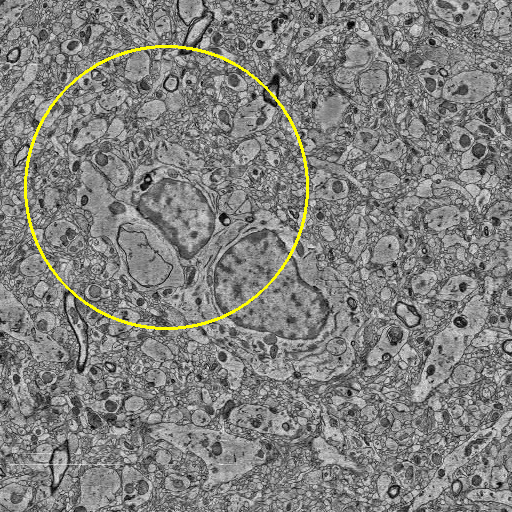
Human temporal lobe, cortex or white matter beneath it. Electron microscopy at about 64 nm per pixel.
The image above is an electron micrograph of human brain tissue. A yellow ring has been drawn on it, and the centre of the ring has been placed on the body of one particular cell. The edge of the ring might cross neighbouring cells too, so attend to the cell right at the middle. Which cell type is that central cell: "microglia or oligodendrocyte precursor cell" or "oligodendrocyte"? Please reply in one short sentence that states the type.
The central cell in the ring is a microglial cell or oligodendrocyte precursor cell.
